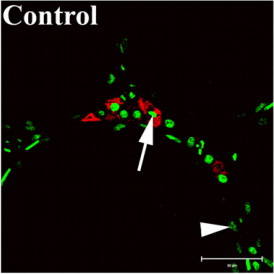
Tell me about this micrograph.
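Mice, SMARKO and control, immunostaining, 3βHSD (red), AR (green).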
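This section of testis shows a small cluster of Leydig cells in the interstitial space where several seminiferous tubules meet. The Leydig cells have red-stained cytoplasm surrounding round nuclei, several of which are green. Around them, elongated and oval green nuclei line the edges of the tubules and the interstitium. The tubule interiors appear mostly dark, with scattered green nuclei at their margins.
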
